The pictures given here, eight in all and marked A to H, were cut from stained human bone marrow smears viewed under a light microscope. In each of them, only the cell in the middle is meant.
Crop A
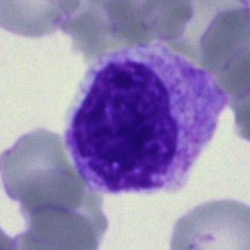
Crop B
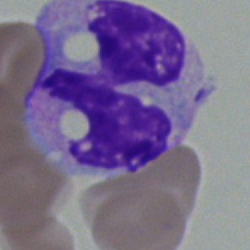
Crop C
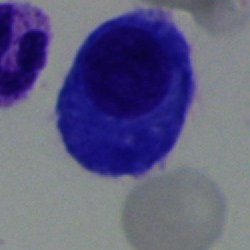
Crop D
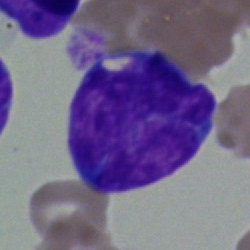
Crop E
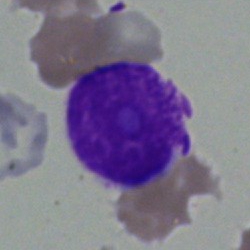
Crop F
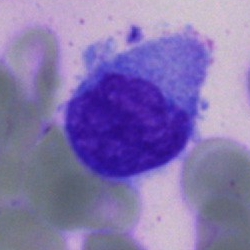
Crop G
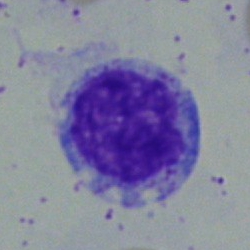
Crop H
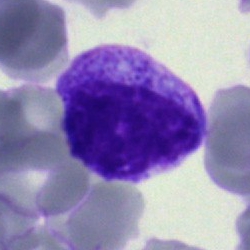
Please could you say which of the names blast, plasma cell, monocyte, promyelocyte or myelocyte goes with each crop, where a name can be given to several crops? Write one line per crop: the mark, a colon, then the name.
A: myelocyte
B: monocyte
C: plasma cell
D: blast
E: blast
F: monocyte
G: monocyte
H: myelocyte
